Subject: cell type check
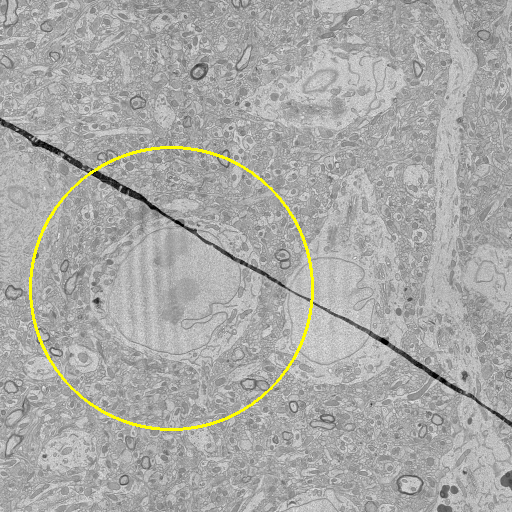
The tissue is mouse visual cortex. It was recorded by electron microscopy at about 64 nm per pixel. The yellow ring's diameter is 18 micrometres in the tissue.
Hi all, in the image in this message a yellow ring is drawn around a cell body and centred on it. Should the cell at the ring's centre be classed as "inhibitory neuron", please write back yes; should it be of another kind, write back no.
yes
